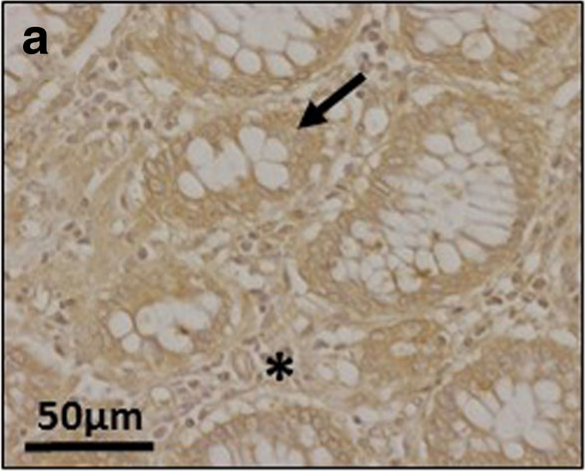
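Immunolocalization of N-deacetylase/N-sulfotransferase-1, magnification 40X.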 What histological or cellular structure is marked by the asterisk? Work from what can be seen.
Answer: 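The asterisk lies in the narrow space between neighbouring glands. This space holds scattered small nuclei in a light brown fibrillar background. The answer: extracellular matrix.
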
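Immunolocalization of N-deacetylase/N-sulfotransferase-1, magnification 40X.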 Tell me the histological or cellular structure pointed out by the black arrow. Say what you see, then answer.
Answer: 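Crypts. The arrow points to a round gland cut in cross-section. The gland is lined by columnar cells surrounding many pale, clear mucin-filled vacuoles. Several such round glands are packed side by side.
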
